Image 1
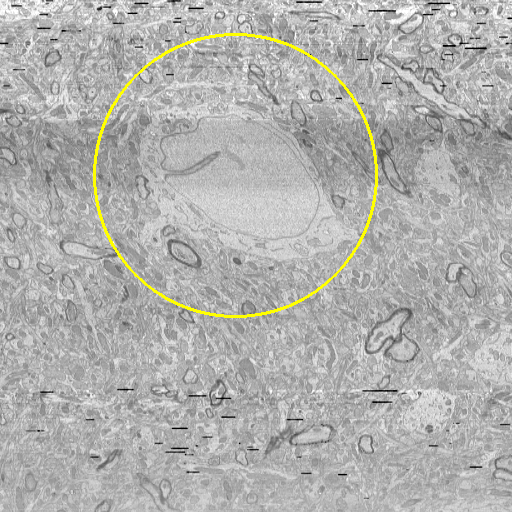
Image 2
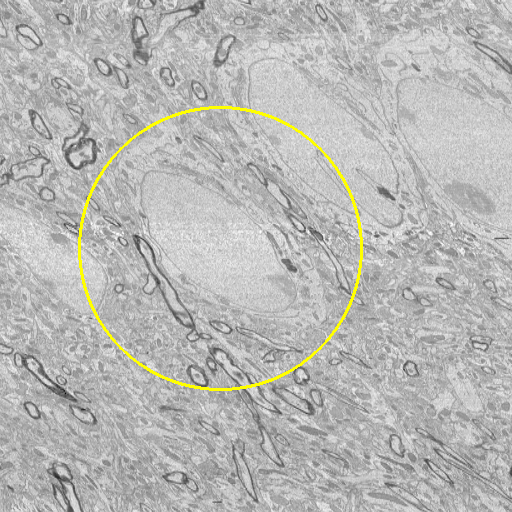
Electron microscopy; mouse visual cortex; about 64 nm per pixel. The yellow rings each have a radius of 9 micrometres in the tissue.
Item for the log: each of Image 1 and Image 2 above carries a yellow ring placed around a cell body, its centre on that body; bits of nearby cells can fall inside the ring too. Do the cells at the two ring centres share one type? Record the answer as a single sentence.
Yes, the two cells at the ring centres in Image 1 and Image 2 share one type.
